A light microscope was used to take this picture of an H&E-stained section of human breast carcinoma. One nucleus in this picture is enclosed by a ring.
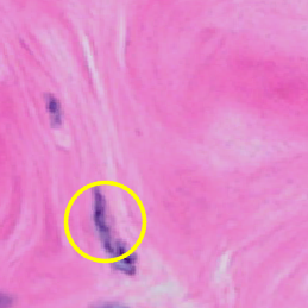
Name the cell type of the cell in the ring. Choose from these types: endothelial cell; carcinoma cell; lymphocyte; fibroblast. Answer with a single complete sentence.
The identity of the cell in the ring: it is a fibroblast.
